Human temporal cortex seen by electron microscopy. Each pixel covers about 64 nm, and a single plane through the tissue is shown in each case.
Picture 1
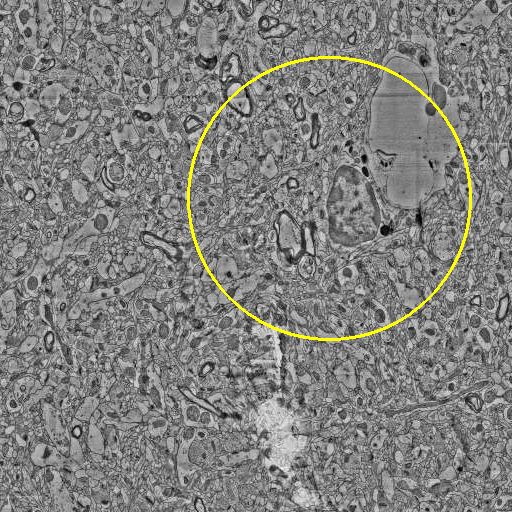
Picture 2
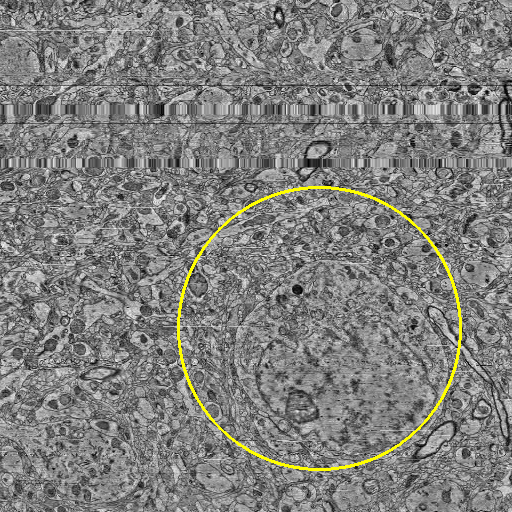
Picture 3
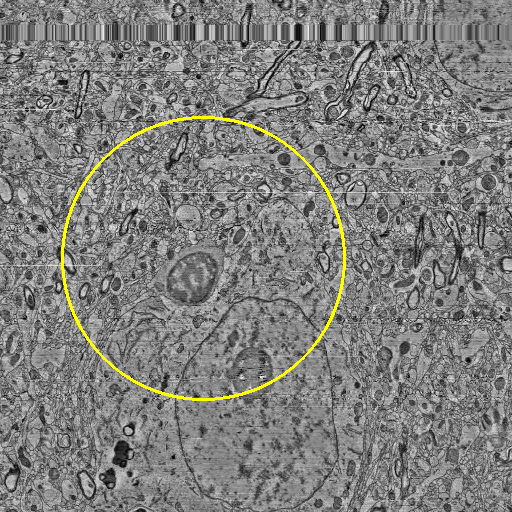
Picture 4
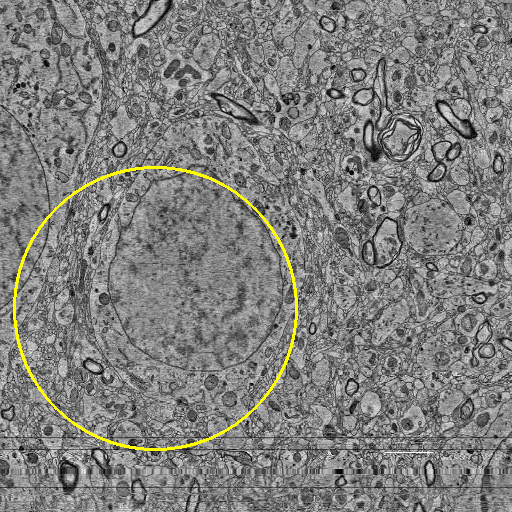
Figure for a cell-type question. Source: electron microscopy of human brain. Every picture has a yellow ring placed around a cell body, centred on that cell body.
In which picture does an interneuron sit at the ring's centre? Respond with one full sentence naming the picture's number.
The cell in the middle of the ring in picture 2 is the one sought.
